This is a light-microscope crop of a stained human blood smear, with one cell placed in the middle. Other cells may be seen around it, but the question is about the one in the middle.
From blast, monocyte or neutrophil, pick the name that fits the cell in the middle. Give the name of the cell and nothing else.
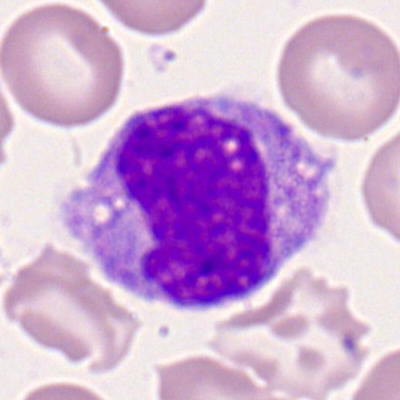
monocyte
